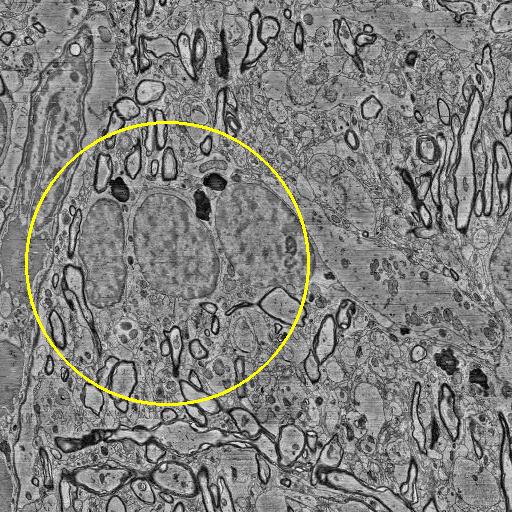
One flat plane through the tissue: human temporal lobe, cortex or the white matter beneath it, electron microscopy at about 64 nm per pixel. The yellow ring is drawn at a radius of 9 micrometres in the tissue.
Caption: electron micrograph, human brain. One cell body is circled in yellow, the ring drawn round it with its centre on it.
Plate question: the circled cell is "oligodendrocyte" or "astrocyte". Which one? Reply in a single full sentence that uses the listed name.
The yellow ring on the plate is centred on an oligodendrocyte, going by the listed names.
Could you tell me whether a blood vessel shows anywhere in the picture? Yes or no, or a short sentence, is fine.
Yes.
